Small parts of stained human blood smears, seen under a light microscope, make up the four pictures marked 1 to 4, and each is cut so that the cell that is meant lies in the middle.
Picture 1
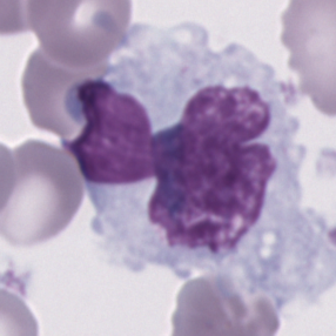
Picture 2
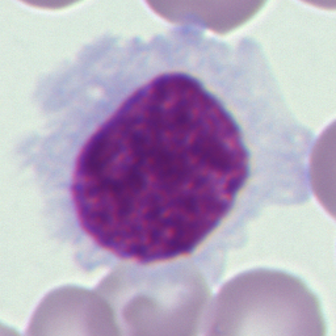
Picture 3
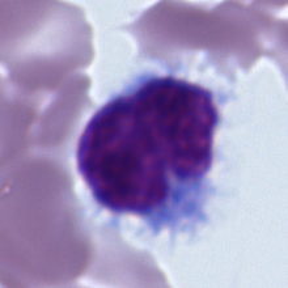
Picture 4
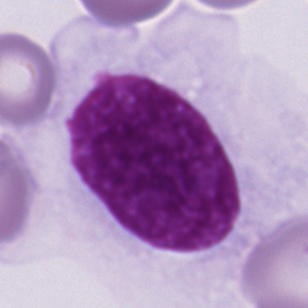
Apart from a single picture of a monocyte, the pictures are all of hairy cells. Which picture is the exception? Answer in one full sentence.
It is picture 1 that shows the monocyte.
